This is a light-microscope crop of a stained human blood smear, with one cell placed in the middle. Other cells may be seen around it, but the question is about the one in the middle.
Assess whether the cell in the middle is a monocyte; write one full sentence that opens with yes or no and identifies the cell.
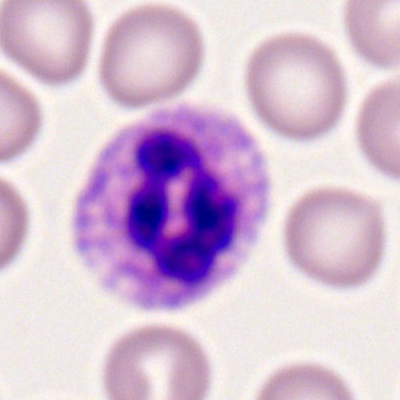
No, not a monocyte here; the centered cell is a neutrophil.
